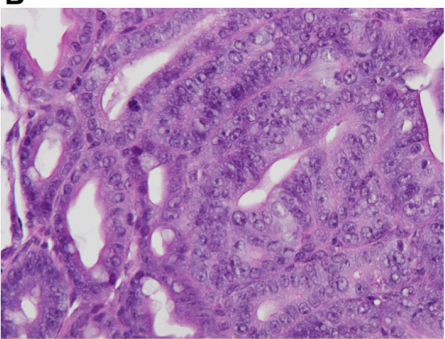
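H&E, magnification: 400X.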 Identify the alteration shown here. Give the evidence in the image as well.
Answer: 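Dysplasia. Glands are crowded and back-to-back with little intervening stroma. Epithelial nuclei are enlarged, rounded, with prominent nucleoli and lost polarity. Epithelium is stratified rather than a single orderly layer.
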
